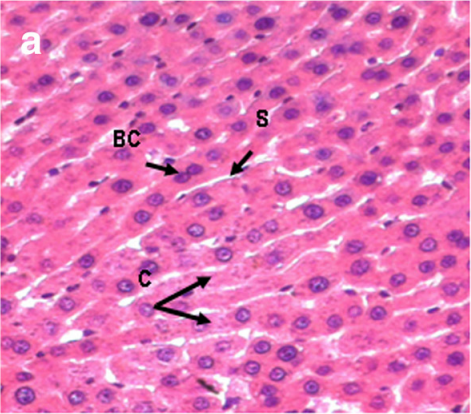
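This is liver, with hepatocytes lined up in hepatic cords that run in roughly parallel rows across the field. The hepatocytes are polygonal with pink cytoplasm and a round, centrally placed, purple nucleus, many showing a distinct nucleolus. A few cells carry two nuclei, the binucleated hepatocytes typical of liver. Between the cords run narrow, pale sinusoids, seen as thin white clefts.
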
